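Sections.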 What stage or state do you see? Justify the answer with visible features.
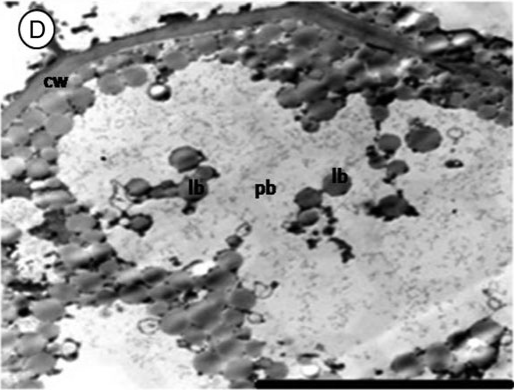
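Deteriorated. A large pale region with an irregular, broken outline. Dark round bodies lie scattered inside the pale region rather than only around its rim. Dark bodies along the margin appear smeared and merged.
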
